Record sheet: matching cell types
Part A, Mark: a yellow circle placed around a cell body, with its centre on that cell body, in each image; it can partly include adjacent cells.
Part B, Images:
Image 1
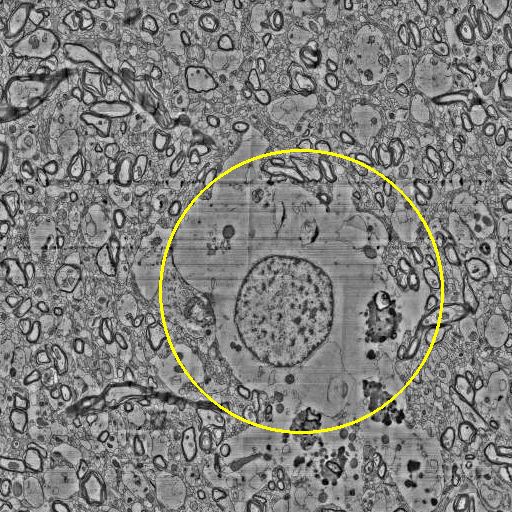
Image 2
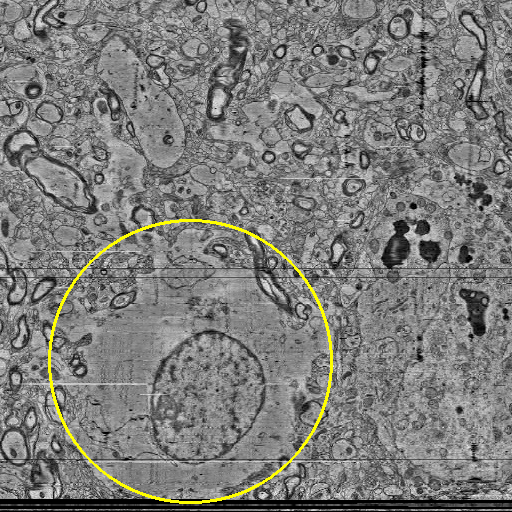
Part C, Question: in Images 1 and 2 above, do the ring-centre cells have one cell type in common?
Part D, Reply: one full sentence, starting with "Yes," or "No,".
Yes, the ring-centre cells of Image 1 and Image 2 are both of a single cell type.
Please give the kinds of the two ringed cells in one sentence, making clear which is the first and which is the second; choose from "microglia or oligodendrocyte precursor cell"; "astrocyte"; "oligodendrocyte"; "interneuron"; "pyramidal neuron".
Both the first and the second picture show an astrocyte in the ring.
